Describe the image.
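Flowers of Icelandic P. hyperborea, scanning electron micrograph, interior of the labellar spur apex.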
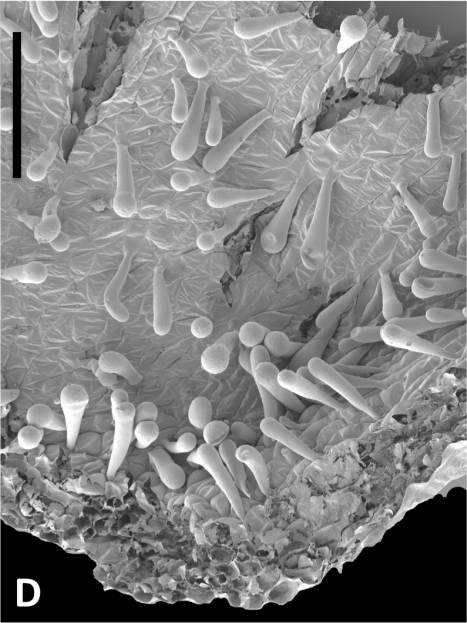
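The papillae stand singly or in loose groups, and are most crowded toward the lower right of the field. Between them the epidermal surface is finely wrinkled, with cell outlines faintly visible. Along the lower edge the cut tissue appears as a rough, broken layer.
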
